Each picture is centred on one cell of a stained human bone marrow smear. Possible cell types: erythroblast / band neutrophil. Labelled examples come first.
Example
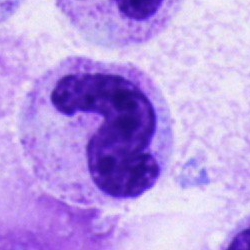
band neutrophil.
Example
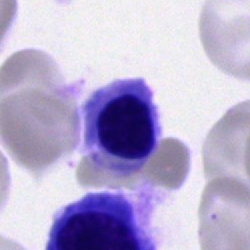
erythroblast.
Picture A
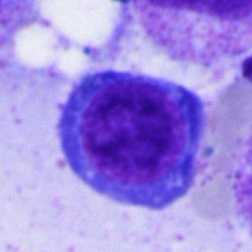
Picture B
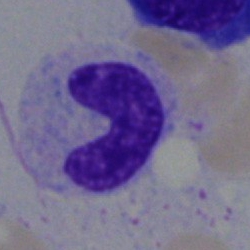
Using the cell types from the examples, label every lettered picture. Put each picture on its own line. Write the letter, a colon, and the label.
A: erythroblast.
B: band neutrophil.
